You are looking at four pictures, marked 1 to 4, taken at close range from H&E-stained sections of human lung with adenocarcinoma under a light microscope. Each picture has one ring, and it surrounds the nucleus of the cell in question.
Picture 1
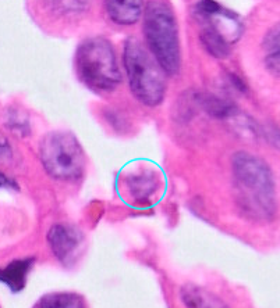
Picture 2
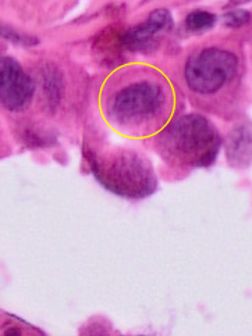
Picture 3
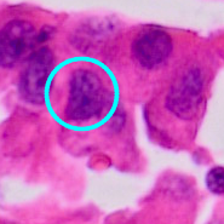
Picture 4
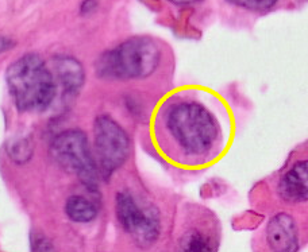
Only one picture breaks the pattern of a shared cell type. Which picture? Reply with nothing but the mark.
1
